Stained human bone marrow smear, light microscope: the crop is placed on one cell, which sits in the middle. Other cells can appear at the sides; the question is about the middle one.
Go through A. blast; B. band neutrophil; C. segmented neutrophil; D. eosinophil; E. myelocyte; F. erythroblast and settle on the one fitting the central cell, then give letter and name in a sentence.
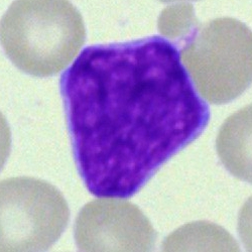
The cell in the middle is correctly identified as a blast in option A.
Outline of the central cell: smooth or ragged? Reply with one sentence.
The border of the cell is irregular, being either ragged or extended into projections.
